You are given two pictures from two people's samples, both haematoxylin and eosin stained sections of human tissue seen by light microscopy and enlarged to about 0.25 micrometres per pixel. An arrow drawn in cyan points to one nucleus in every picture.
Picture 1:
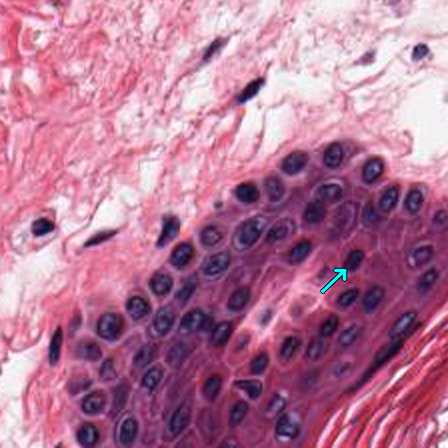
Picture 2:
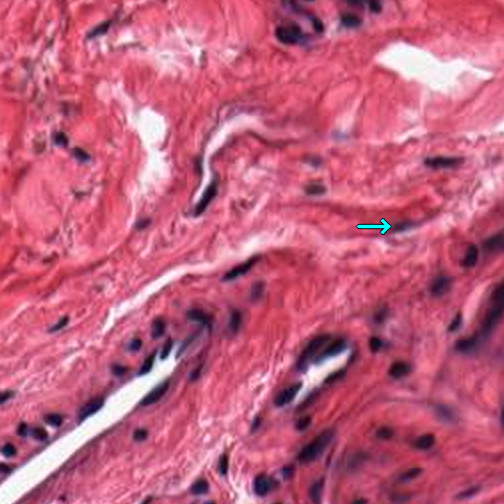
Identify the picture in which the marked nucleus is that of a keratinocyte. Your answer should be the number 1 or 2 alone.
1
